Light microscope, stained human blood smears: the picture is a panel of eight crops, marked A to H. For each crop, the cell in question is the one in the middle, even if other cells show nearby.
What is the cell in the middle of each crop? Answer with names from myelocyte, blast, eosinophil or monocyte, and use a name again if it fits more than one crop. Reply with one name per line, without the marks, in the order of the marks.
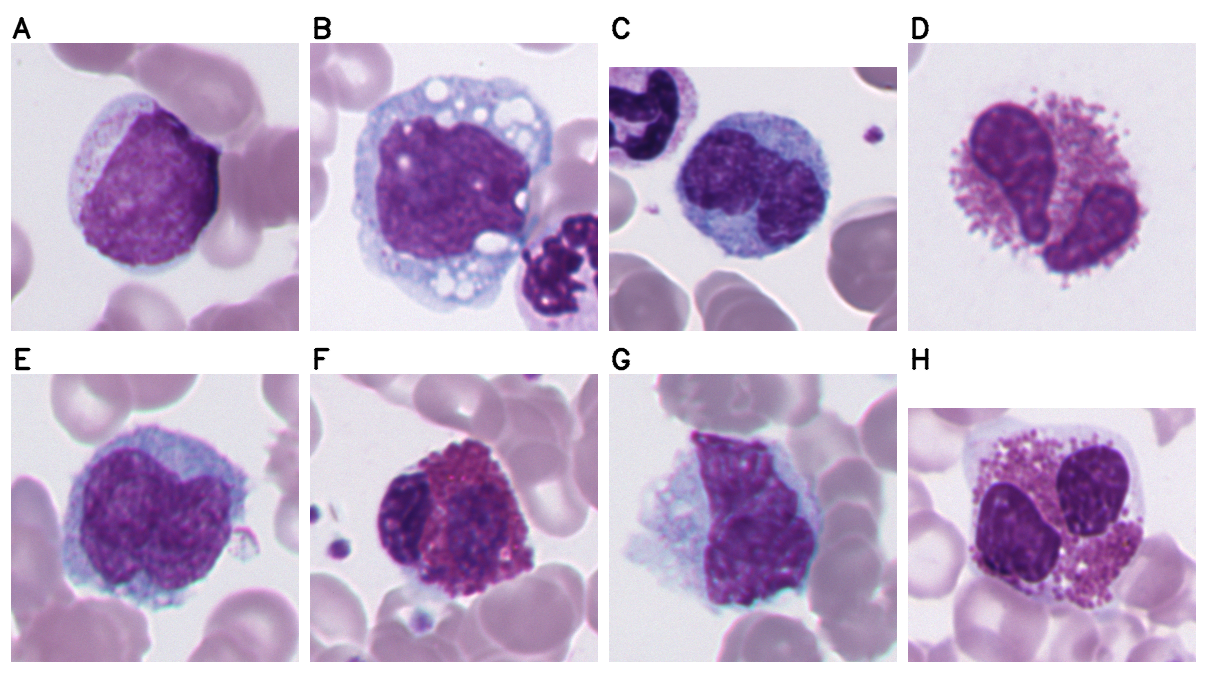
myelocyte
monocyte
monocyte
eosinophil
monocyte
eosinophil
monocyte
eosinophil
